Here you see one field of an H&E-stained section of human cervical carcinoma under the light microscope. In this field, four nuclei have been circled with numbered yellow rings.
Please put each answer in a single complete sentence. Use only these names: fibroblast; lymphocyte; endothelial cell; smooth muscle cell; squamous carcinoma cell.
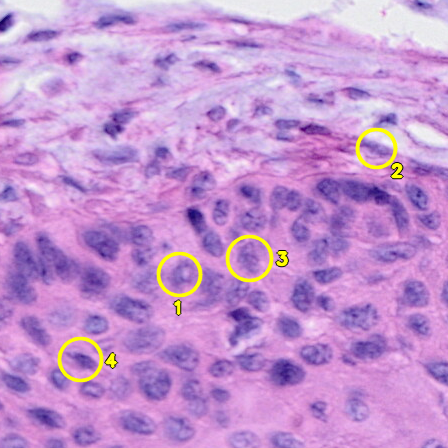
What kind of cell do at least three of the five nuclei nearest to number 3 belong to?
Of the five nuclei nearest to number 3, most belong to squamous carcinoma cells.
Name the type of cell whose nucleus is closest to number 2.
The nucleus nearest to number 2 is that of a fibroblast.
